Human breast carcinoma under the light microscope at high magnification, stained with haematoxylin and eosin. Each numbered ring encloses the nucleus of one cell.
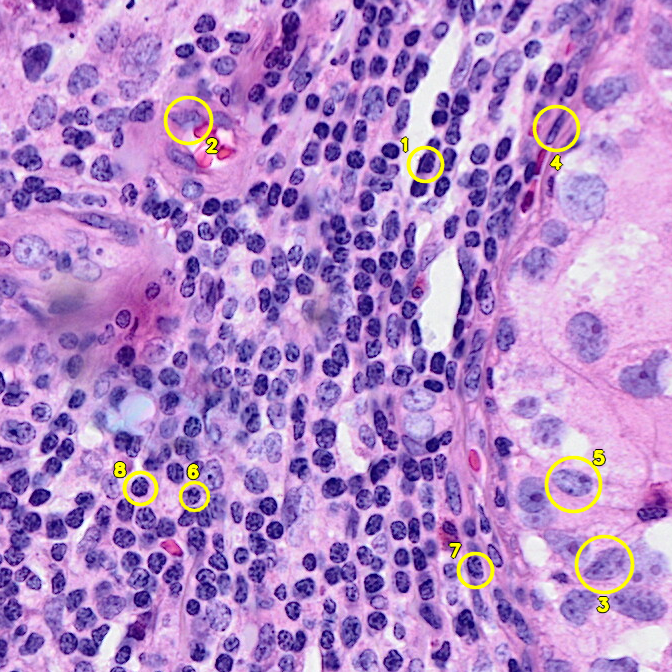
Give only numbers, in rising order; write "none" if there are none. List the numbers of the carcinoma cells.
3, 5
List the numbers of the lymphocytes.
1, 6, 7, 8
